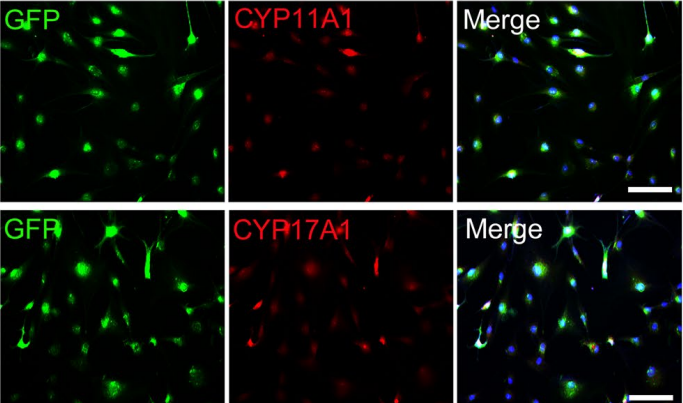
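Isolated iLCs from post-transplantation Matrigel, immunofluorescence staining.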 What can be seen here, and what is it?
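These are scattered cultured cells, fluorescing green, with small rounded or angular bodies and thin, long processes. The merged images therefore show mostly green cells with blue nuclei.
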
